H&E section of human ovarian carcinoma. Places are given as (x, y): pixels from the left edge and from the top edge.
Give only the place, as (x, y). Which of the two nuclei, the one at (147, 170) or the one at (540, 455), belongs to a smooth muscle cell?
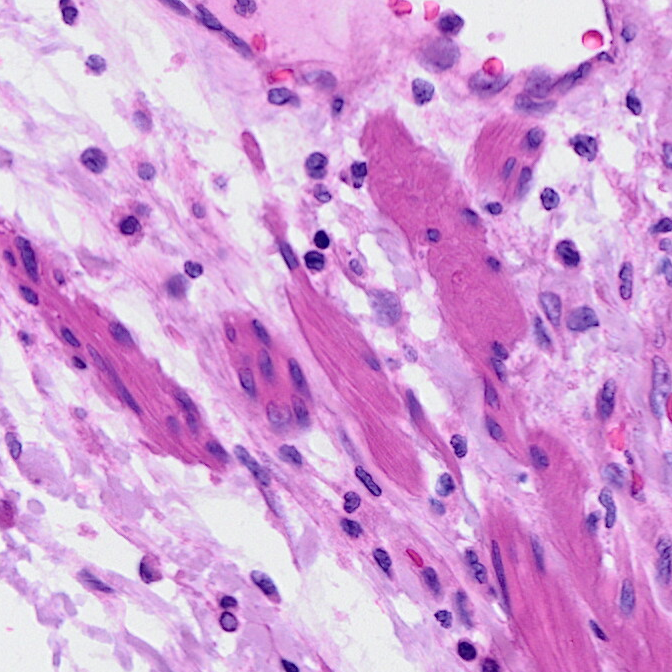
(540, 455)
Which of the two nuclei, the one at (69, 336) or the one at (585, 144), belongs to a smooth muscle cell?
(69, 336)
